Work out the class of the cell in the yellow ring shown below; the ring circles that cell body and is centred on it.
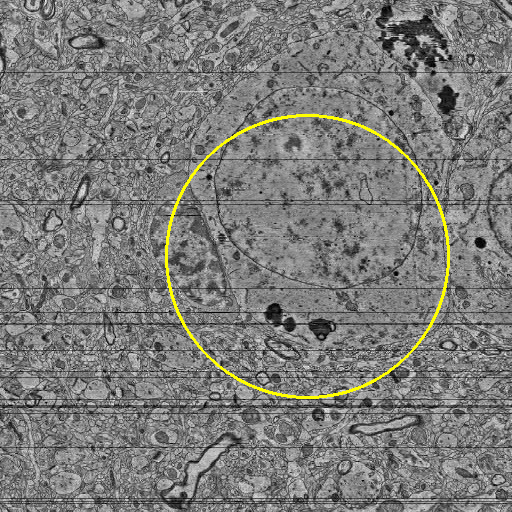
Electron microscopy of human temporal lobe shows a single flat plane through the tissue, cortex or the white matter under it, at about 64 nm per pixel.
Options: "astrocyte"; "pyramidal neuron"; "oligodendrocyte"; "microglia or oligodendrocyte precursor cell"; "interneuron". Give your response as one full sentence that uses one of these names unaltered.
The body ringed in yellow, right at the ring's centre, is that of a pyramidal neuron.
